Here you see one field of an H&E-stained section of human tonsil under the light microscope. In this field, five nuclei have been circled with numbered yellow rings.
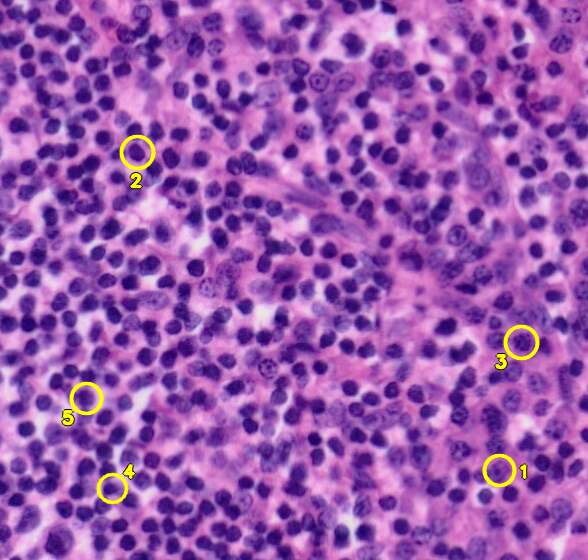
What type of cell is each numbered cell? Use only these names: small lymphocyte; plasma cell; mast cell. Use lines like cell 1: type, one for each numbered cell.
cell 1: plasma cell
cell 2: small lymphocyte
cell 3: plasma cell
cell 4: small lymphocyte
cell 5: small lymphocyte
